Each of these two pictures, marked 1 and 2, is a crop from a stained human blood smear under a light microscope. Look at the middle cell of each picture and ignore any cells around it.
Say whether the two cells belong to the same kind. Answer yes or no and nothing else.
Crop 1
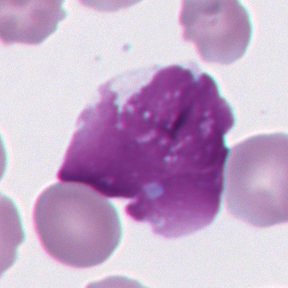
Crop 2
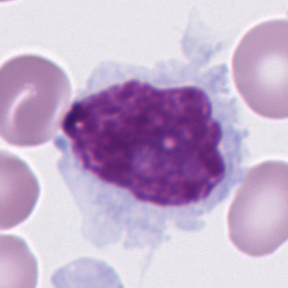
no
